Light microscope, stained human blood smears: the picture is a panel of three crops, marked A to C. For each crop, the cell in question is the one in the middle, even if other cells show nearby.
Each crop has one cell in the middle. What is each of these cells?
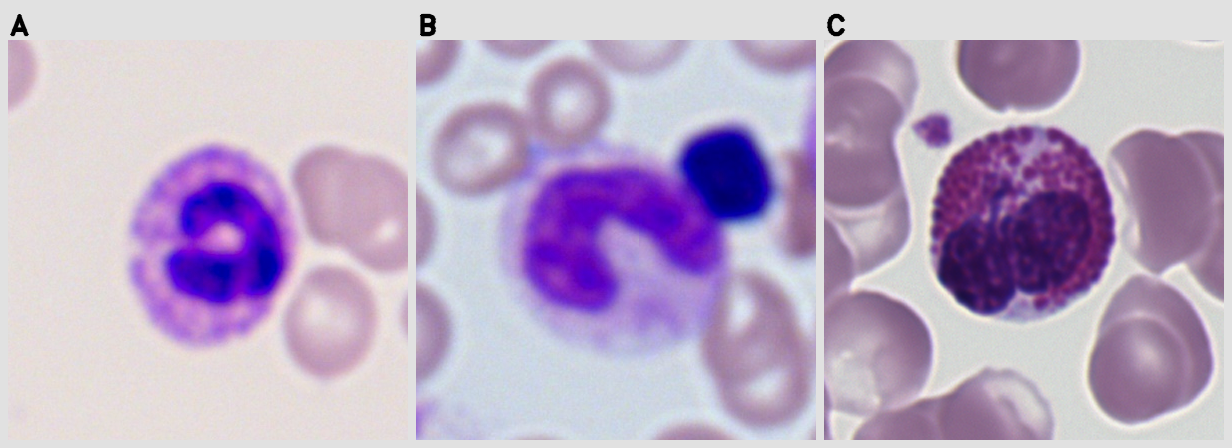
A: band neutrophil
B: band neutrophil
C: eosinophil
